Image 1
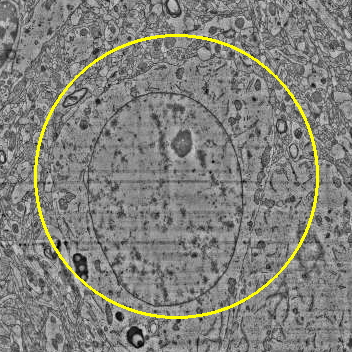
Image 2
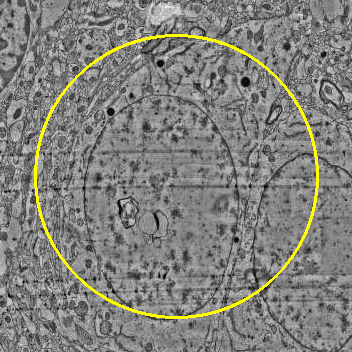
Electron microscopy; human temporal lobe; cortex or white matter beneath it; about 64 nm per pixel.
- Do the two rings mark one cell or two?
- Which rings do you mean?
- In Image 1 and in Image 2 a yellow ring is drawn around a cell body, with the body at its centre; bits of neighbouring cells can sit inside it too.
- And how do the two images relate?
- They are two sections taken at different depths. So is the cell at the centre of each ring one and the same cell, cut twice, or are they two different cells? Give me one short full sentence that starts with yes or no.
Yes, one single cell is under each of the two rings.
